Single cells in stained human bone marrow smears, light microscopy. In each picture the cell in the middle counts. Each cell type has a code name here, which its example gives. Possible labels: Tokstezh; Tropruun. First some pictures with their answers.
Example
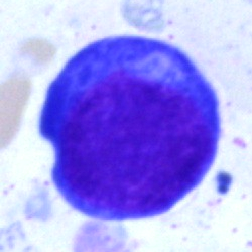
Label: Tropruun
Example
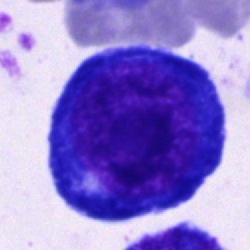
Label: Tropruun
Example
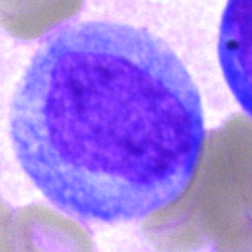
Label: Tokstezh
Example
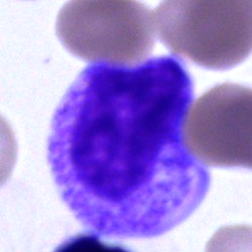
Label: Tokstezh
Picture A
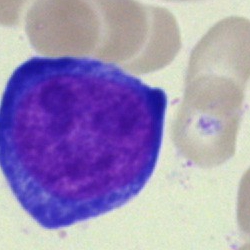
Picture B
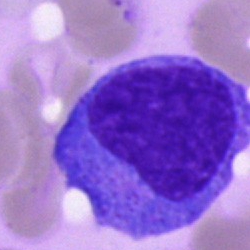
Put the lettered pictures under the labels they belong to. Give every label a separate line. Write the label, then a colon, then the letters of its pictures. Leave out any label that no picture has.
Tokstezh: B
Tropruun: A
